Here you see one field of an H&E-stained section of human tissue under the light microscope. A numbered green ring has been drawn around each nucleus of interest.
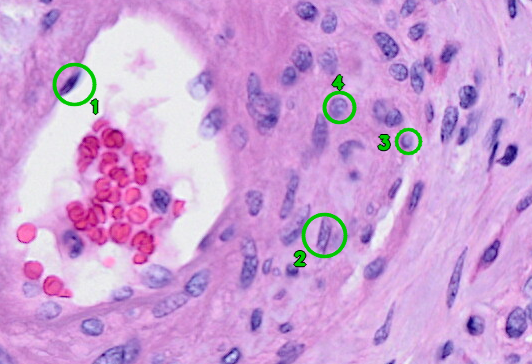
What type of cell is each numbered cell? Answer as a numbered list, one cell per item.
1. endothelial cell
2. smooth muscle cell
3. smooth muscle cell
4. smooth muscle cell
